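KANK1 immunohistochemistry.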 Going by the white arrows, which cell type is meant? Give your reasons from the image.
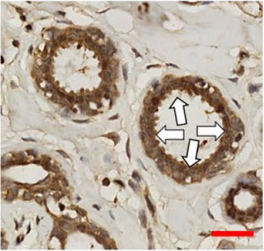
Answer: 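The arrows point to the inner cell layer lining a round duct lumen. These lining cells have strongly brown-stained cytoplasm. The cells form an orderly single ring around a central lumen. That points to this answer: normal epithelial cells.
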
